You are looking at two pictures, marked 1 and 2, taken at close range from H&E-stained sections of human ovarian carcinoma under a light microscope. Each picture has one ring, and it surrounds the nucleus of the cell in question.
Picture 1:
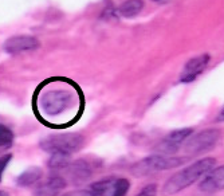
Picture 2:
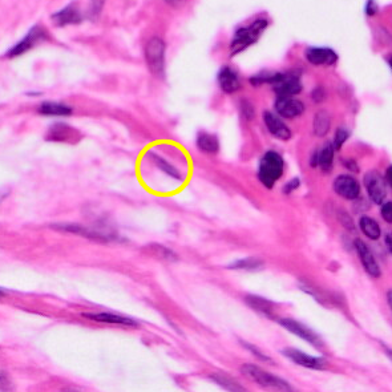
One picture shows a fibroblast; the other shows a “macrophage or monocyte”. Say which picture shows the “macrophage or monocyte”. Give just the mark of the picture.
1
